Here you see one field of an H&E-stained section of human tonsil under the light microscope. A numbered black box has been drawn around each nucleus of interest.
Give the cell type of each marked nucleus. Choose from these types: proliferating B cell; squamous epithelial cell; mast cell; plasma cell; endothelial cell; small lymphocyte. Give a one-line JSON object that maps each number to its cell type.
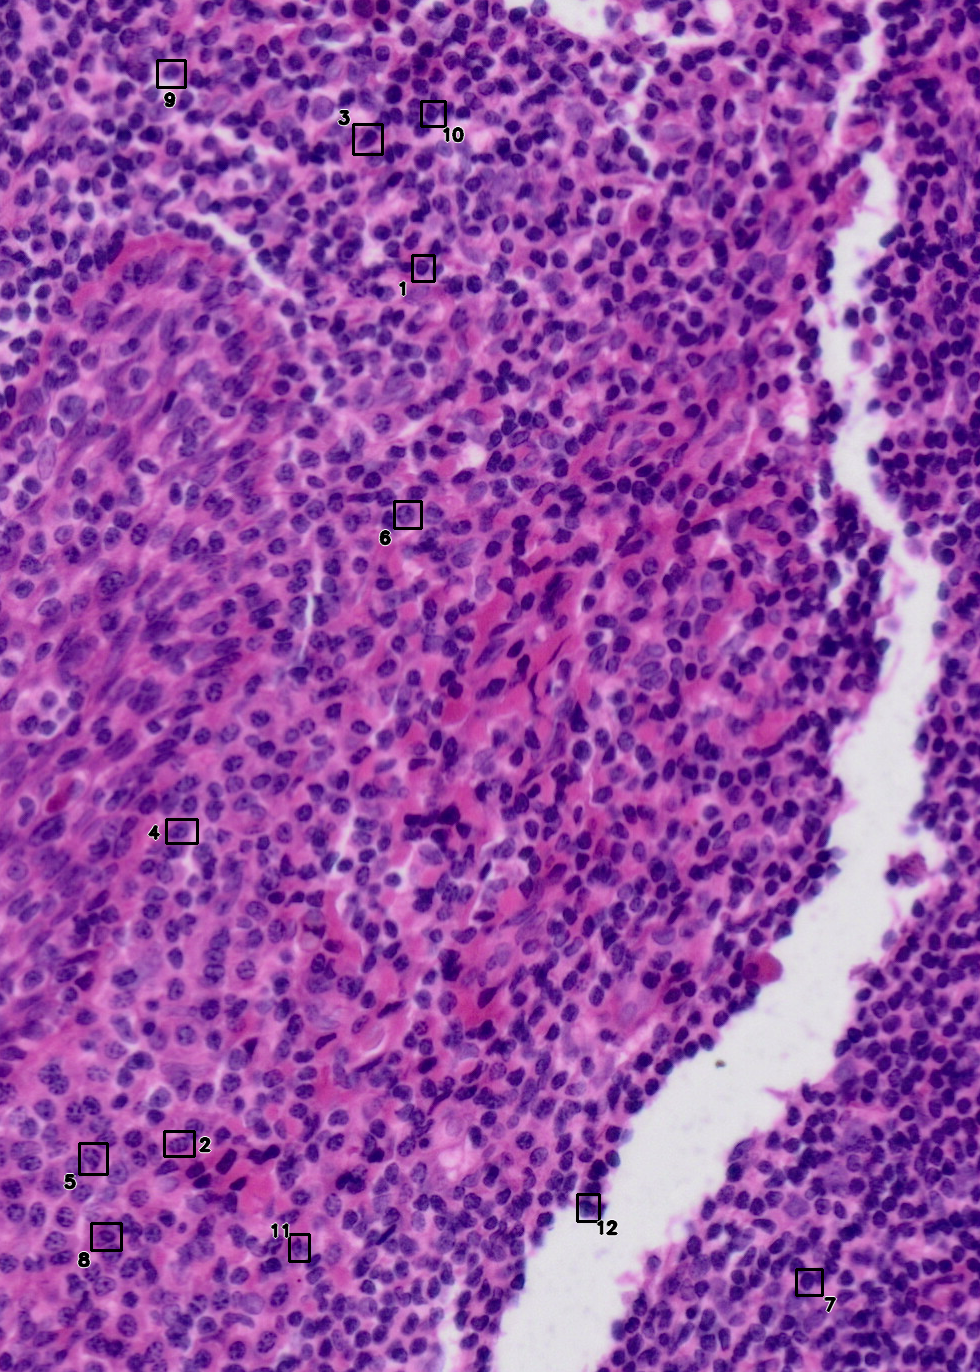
{"1": "small lymphocyte", "2": "plasma cell", "3": "small lymphocyte", "4": "plasma cell", "5": "plasma cell", "6": "plasma cell", "7": "small lymphocyte", "8": "plasma cell", "9": "small lymphocyte", "10": "small lymphocyte", "11": "plasma cell", "12": "small lymphocyte"}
